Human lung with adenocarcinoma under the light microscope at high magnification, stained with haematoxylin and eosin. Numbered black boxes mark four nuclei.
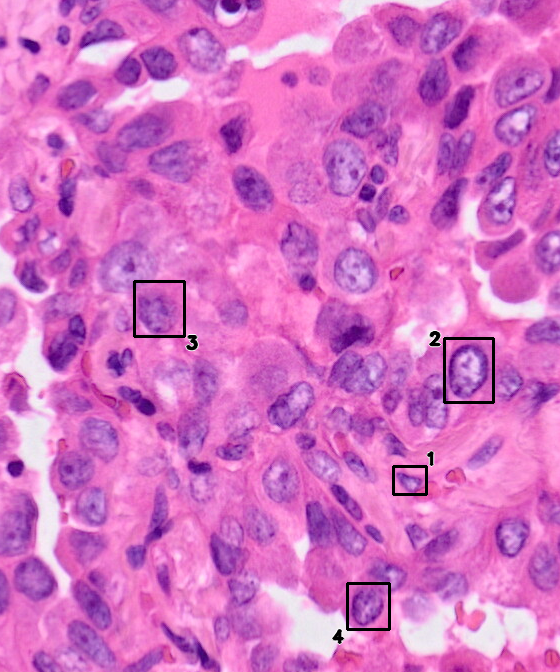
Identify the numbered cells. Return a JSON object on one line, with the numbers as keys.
{"1": "endothelial cell", "2": "carcinoma cell", "3": "carcinoma cell", "4": "carcinoma cell"}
